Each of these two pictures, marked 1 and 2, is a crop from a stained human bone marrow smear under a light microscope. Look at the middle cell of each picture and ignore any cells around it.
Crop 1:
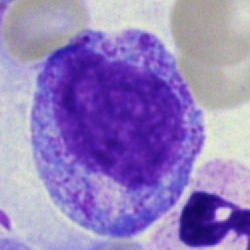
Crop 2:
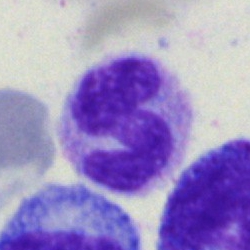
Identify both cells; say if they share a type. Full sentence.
No, a monocyte is in crop 2, and a myelocyte is in crop 1.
